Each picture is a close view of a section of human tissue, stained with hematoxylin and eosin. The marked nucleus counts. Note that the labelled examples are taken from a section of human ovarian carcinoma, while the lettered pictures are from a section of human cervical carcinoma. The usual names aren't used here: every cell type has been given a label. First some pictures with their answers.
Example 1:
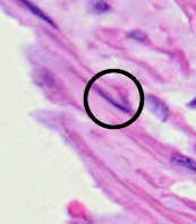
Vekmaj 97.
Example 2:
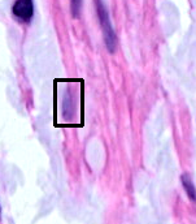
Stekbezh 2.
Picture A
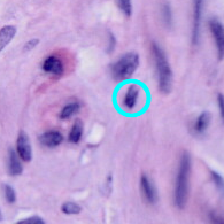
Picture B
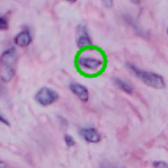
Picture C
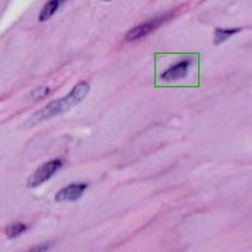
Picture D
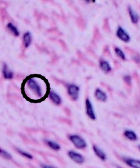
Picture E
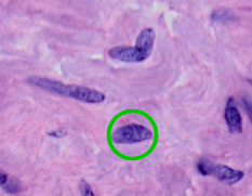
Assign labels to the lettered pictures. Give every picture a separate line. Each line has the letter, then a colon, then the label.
A: Vekmaj 97.
B: Stekbezh 2.
C: Vekmaj 97.
D: Stekbezh 2.
E: Vekmaj 97.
